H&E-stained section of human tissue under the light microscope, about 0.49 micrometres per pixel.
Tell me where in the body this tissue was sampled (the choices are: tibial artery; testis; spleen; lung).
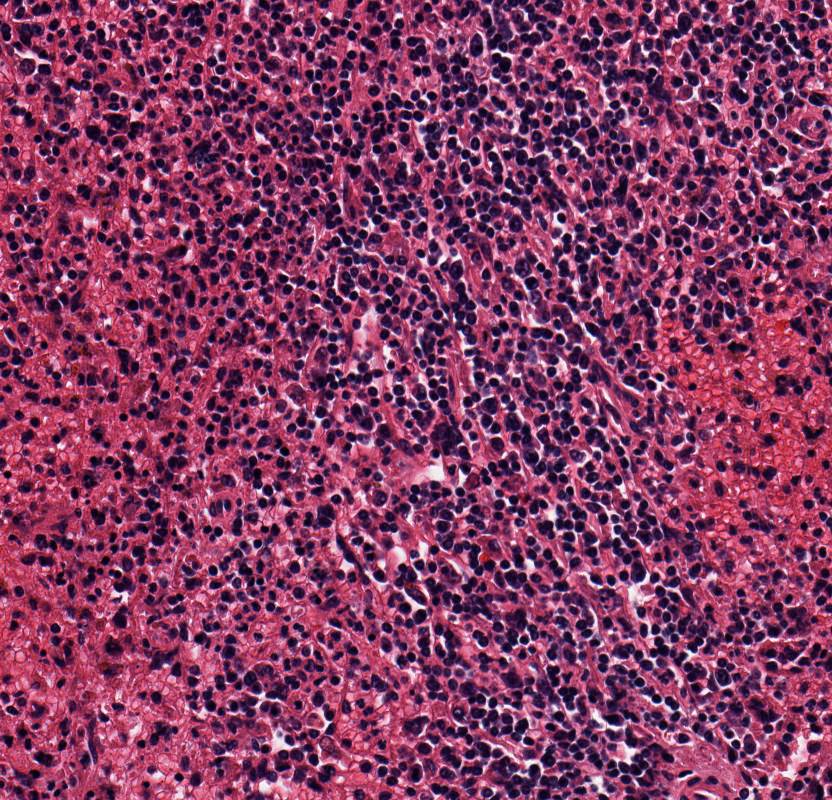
spleen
